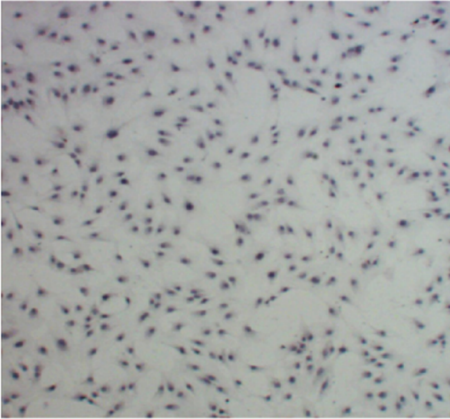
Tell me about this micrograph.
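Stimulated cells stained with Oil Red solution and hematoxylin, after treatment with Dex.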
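The purple oval nuclei are more widely spaced, leaving larger pale gaps between cells. Many cells look shorter and rounder, with less of the long, tapering spindle-shaped cytoplasm. The parallel, streaming arrangement is less clear, and the cells are more scattered over the field.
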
